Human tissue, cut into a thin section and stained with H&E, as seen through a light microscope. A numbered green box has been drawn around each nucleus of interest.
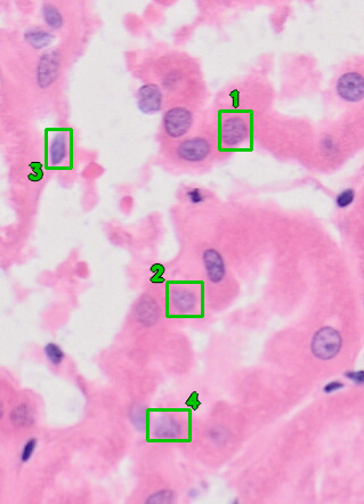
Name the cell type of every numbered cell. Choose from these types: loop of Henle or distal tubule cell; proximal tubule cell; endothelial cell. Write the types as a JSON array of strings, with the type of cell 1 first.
["proximal tubule cell", "proximal tubule cell", "endothelial cell", "proximal tubule cell"]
